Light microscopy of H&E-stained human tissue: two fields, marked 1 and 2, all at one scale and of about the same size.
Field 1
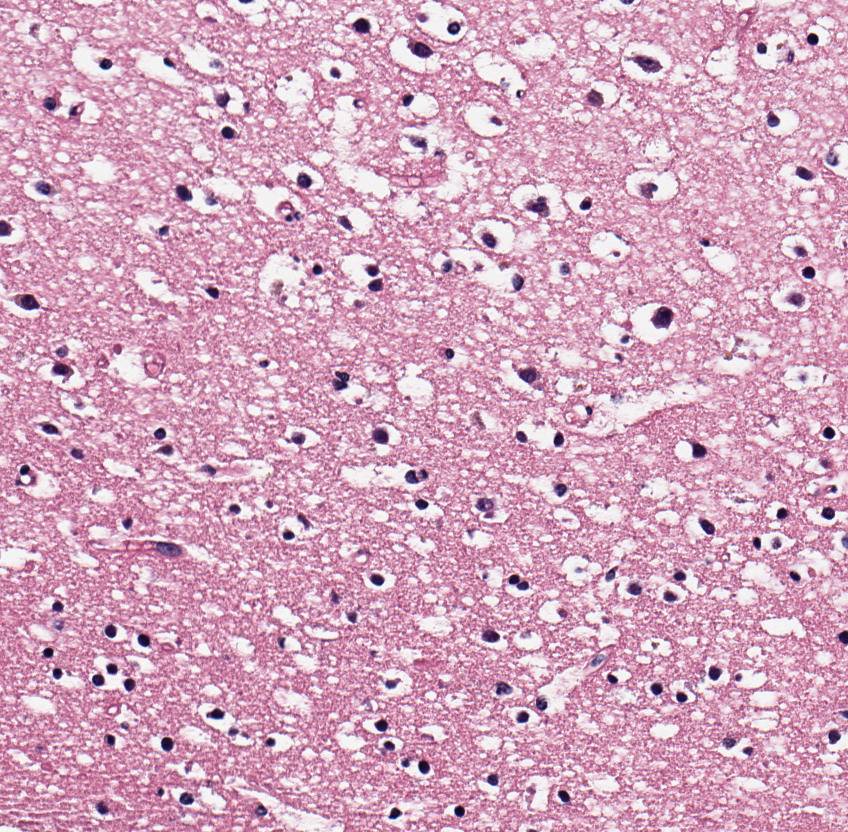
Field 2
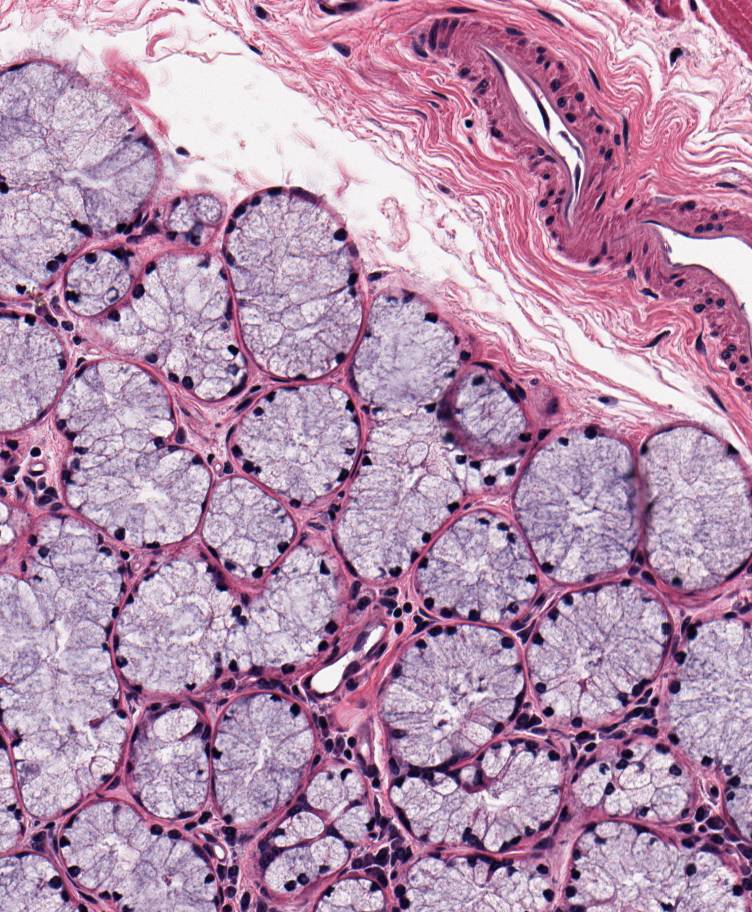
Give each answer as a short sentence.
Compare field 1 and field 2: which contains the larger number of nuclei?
There are more nuclei in field 2.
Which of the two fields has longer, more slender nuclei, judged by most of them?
On the whole the nuclei of field 2 are more drawn out than those of field 1.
